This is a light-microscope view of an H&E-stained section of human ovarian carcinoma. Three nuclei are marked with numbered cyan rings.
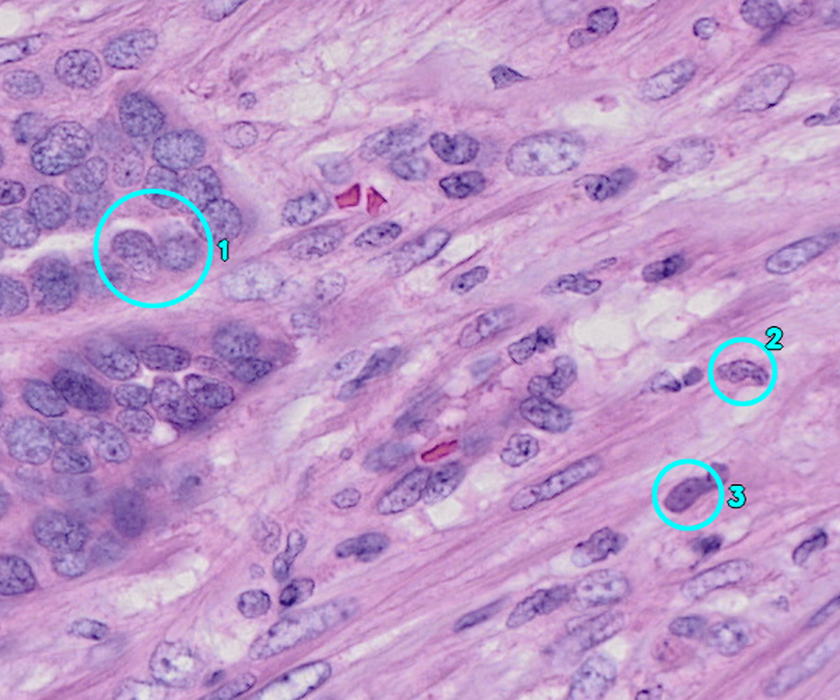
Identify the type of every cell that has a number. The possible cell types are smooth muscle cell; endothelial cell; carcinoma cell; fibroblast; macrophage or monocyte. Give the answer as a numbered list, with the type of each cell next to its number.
1. carcinoma cell
2. macrophage or monocyte
3. macrophage or monocyte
